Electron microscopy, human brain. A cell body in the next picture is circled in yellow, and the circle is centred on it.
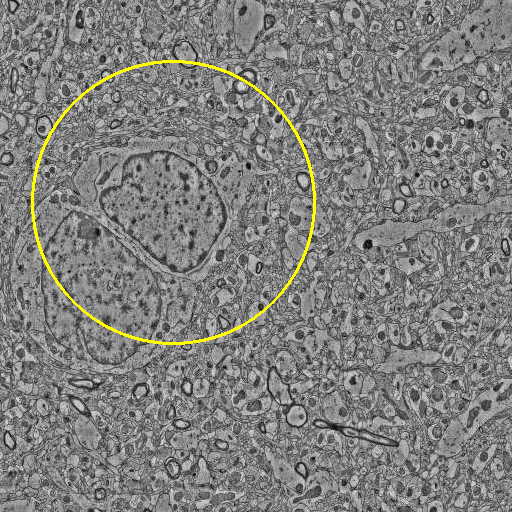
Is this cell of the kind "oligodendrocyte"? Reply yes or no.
no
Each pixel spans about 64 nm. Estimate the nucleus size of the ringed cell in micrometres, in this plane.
Approximately 8 by 7 micrometers in this plane.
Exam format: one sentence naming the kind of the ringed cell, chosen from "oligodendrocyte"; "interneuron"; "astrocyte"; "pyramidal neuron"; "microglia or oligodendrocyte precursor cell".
The cell ringed in the picture is a microglial cell or oligodendrocyte precursor cell.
